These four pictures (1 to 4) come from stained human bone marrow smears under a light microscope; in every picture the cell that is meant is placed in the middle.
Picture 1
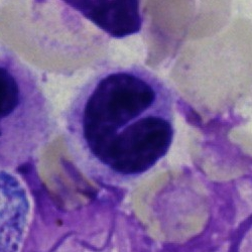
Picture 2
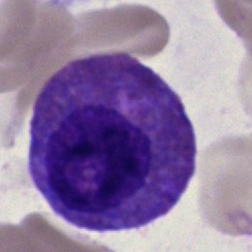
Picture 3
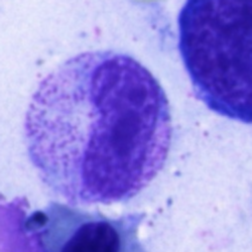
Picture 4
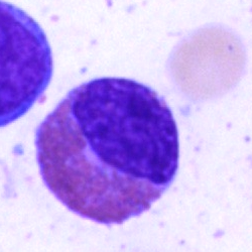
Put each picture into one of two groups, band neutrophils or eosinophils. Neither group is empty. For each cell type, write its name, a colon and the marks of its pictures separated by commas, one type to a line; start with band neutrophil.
band neutrophil: 1, 3
eosinophil: 2, 4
